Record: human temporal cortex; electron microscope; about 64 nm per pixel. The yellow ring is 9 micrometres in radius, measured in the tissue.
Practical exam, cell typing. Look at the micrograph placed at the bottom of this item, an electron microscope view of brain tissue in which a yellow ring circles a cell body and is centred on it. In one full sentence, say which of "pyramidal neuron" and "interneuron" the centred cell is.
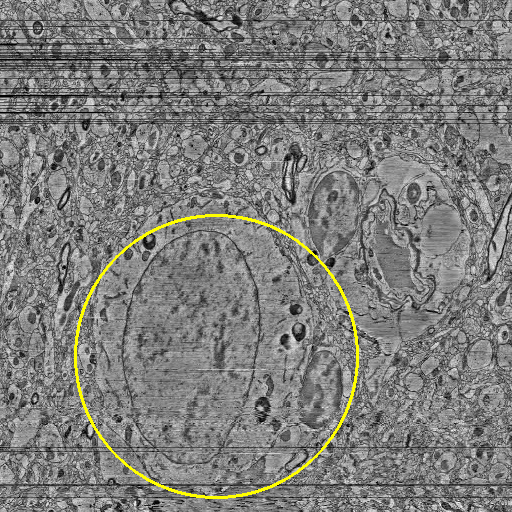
Given the options, a pyramidal neuron fits the cell whose body the yellow ring is centred on.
